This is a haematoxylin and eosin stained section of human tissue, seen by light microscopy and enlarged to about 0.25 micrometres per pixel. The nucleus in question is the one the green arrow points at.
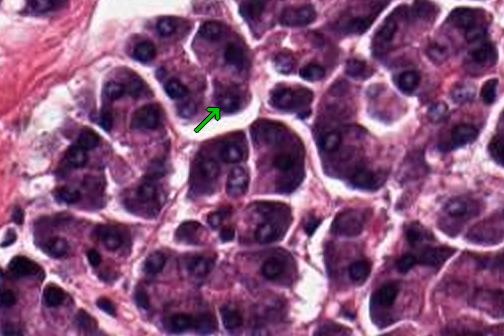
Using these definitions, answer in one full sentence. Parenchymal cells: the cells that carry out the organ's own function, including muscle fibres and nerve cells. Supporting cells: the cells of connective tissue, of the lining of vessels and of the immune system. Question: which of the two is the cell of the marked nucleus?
The marked nucleus belongs to the parenchyma, being the nucleus of a pancreatic acinar cell.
